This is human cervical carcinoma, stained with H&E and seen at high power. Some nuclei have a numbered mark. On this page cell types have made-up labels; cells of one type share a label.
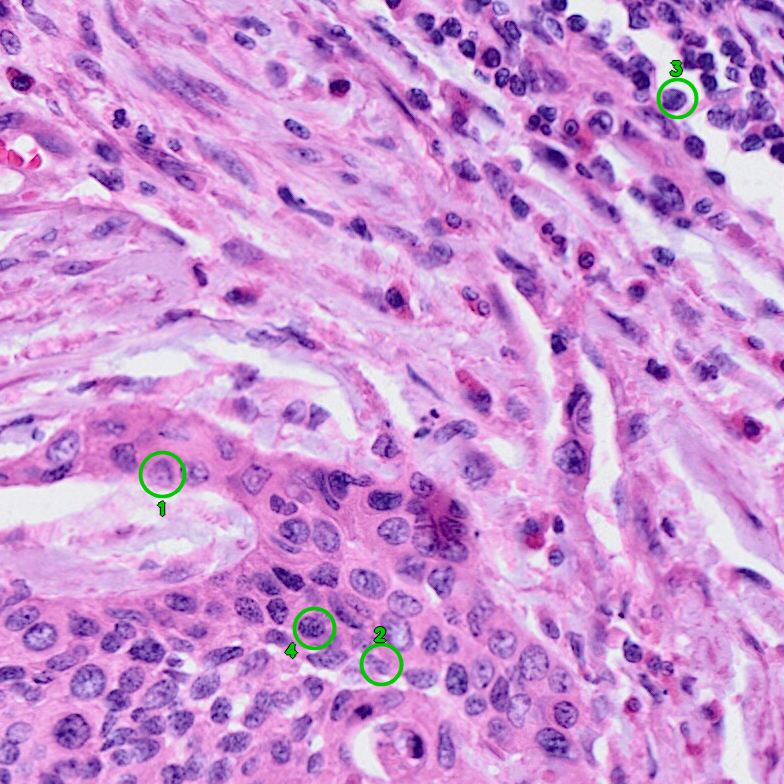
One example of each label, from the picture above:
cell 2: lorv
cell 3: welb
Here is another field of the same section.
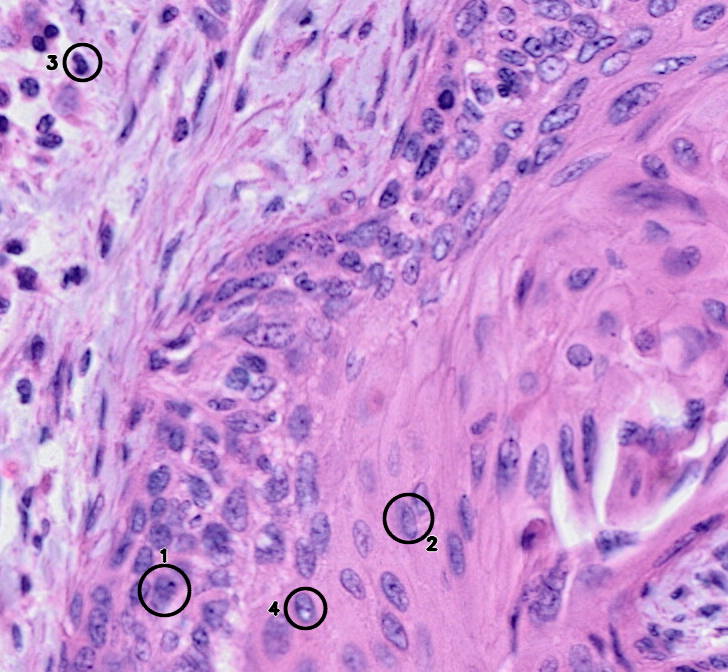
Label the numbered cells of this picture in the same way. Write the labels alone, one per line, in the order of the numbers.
lorv
lorv
welb
lorv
